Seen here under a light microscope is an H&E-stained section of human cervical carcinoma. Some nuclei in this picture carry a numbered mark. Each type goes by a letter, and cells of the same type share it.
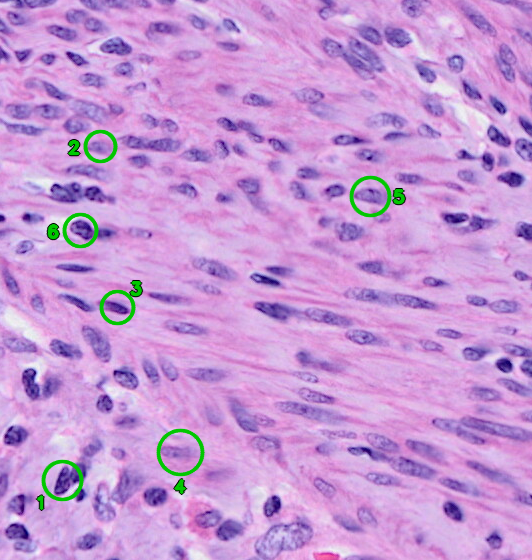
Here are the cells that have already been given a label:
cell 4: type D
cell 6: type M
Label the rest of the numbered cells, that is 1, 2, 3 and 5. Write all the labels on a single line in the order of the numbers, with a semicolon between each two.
type M; type D; type D; type D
